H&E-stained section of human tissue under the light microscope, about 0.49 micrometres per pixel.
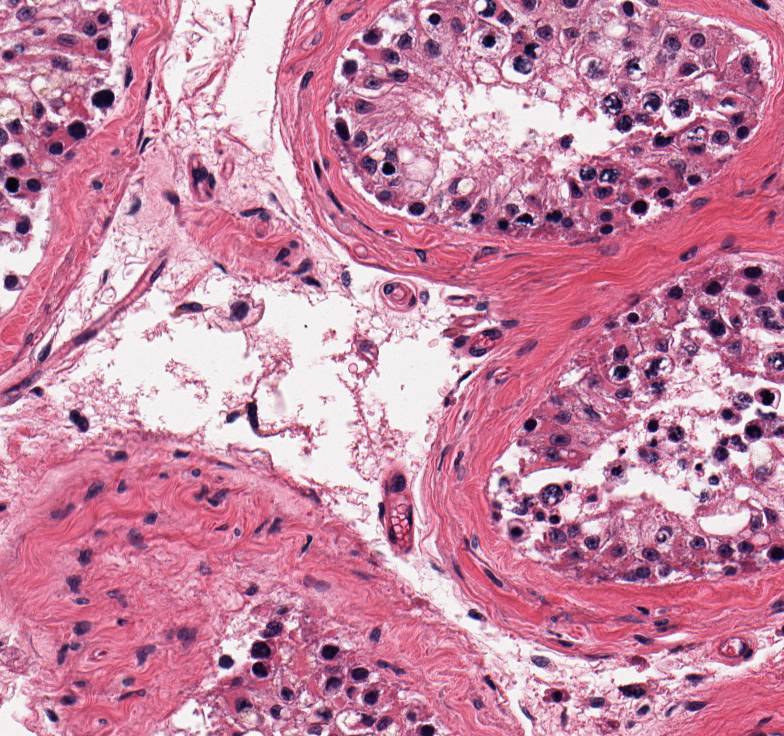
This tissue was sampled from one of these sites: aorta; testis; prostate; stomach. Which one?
testis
